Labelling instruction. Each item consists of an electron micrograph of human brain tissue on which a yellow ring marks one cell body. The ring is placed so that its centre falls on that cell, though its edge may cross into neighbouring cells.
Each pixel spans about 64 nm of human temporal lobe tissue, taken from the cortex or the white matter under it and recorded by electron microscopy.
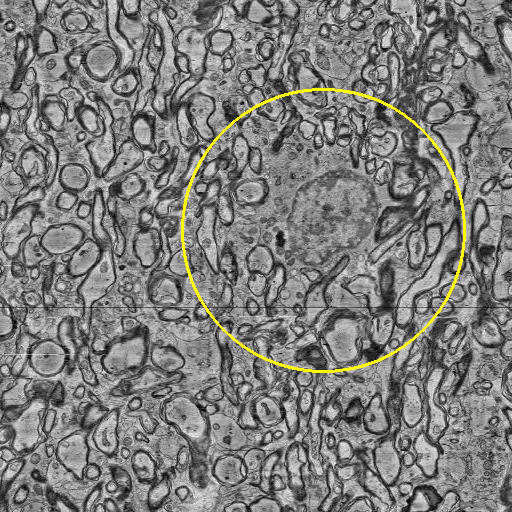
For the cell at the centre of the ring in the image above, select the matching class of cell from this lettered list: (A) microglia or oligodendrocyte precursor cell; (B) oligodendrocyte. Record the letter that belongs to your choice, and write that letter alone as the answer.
B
